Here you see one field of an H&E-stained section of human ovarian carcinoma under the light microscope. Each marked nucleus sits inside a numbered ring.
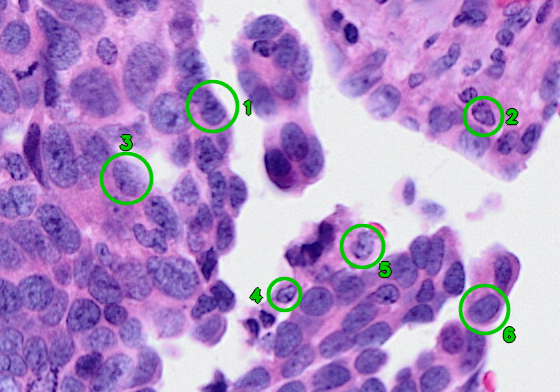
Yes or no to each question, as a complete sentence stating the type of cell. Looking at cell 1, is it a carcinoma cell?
Yes, the cell whose nucleus carries number 1 is a carcinoma cell.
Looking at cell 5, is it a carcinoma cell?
No, cell 5 is correctly identified as a macrophage or monocyte and not as a carcinoma cell.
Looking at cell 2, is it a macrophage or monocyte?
Yes, within this section, cell number 2 is a macrophage or monocyte.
